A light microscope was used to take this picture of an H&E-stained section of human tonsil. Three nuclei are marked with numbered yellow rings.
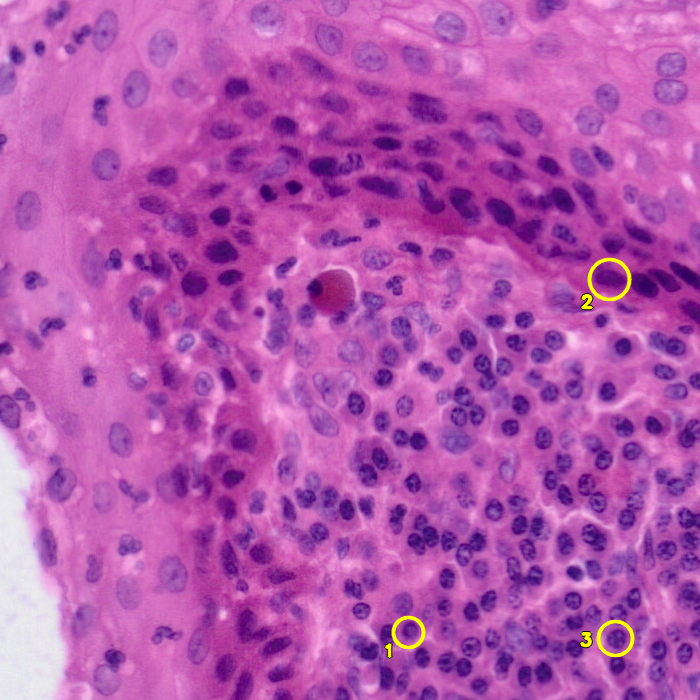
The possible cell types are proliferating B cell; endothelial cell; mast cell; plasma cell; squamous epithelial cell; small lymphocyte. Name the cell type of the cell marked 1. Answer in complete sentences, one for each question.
Number 1 is placed on a plasma cell here.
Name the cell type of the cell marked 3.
The cell whose nucleus carries the number 3 is a plasma cell.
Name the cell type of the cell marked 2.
The correct label for cell 2 is a squamous epithelial cell.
